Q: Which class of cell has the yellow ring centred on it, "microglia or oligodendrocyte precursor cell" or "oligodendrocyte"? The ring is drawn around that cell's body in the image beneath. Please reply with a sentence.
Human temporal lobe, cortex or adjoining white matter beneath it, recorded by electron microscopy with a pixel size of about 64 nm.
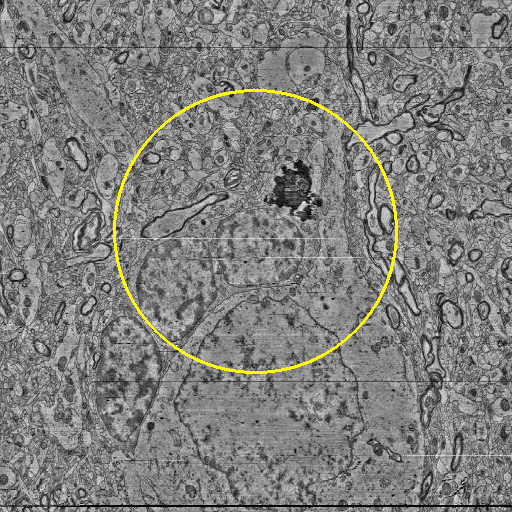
It is centred on an oligodendrocyte.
